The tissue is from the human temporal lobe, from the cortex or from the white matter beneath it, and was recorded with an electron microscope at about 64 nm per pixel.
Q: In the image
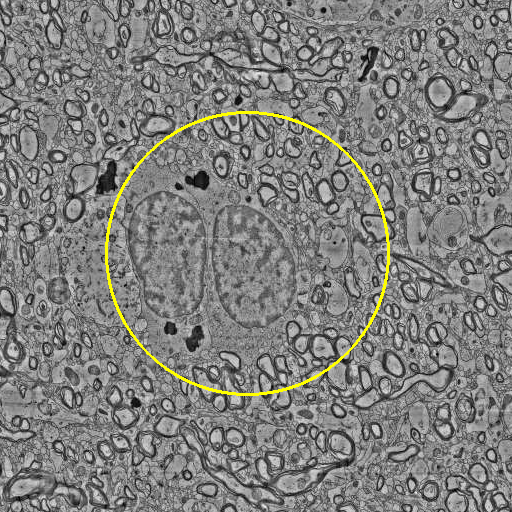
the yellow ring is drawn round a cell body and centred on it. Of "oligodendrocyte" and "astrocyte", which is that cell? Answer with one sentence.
The cell centred in the ring is an oligodendrocyte.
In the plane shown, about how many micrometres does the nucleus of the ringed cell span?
Approximately 8 micrometres long and 5 micrometres wide, so clearly longer than it is wide in this plane.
